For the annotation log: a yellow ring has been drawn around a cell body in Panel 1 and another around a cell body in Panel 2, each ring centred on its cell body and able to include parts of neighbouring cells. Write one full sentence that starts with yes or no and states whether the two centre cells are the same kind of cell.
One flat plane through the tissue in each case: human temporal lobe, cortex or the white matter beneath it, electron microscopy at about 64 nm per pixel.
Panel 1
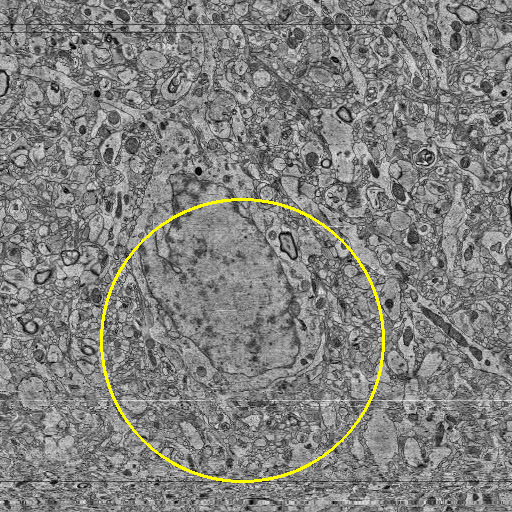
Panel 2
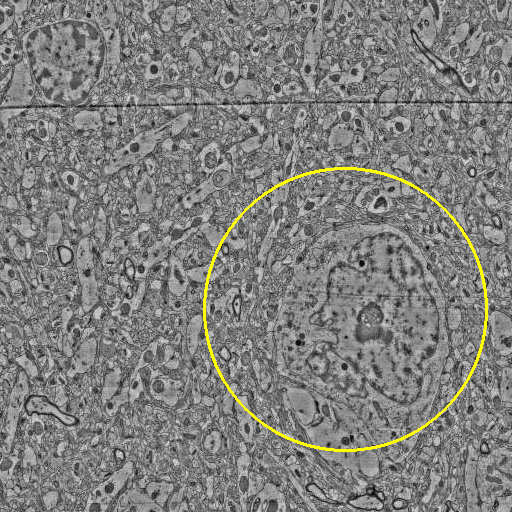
Yes, the two centre cells are the same kind of cell.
